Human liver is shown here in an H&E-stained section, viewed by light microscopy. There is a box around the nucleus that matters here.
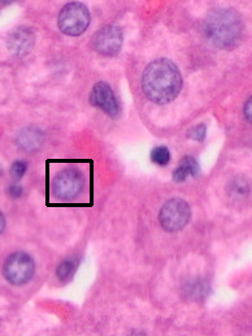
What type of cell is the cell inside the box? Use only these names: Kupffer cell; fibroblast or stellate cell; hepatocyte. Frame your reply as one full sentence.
In this preparation, the cell inside the box is a hepatocyte.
